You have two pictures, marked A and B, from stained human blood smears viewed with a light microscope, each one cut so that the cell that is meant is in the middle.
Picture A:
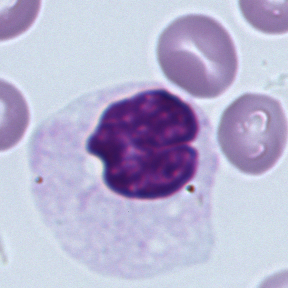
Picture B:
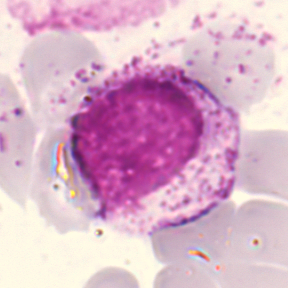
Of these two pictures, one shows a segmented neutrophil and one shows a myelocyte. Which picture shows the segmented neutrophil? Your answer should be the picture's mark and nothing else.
A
